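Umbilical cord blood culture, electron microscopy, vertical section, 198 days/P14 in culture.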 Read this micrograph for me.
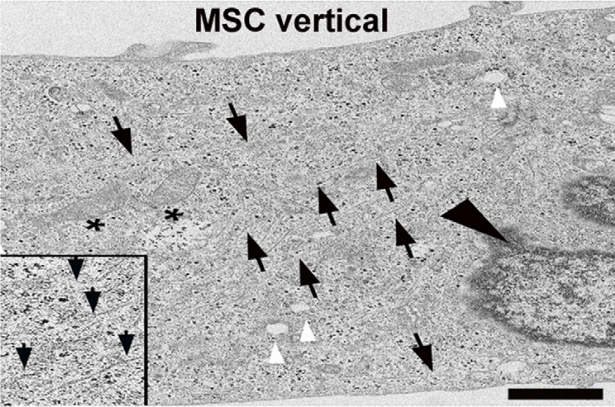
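At the right edge lies part of the nucleus, a rounded body with a distinct envelope and dark, granular chromatin. The cytoplasm is crowded with fine black dots, which are ribosomes, and fine filaments run through it in several directions, seen more clearly in the magnified inset. A few small clear vacuoles and some irregular grey mitochondria are scattered within the cytoplasm. The upper border is the cell surface, with small protrusions against the pale background.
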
